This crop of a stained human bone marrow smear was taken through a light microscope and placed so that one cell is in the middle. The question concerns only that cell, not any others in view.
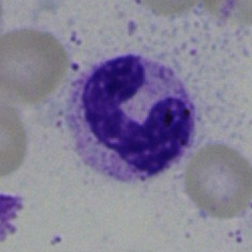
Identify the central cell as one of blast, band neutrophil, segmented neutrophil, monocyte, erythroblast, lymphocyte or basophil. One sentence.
Centrally within this crop lies a band neutrophil.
